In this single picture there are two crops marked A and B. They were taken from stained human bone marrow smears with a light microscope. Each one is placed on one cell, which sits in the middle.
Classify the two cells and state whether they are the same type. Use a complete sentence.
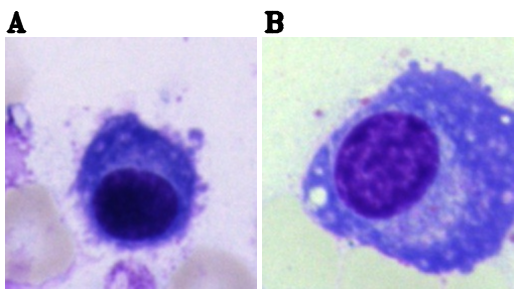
Yes, the crops both have plasma cells in the middle.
